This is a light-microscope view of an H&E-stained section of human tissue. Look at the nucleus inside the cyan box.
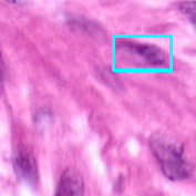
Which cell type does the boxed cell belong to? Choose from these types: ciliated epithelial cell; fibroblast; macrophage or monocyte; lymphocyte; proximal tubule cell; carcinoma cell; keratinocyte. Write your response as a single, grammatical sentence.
The identity of the boxed cell: it is a fibroblast.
